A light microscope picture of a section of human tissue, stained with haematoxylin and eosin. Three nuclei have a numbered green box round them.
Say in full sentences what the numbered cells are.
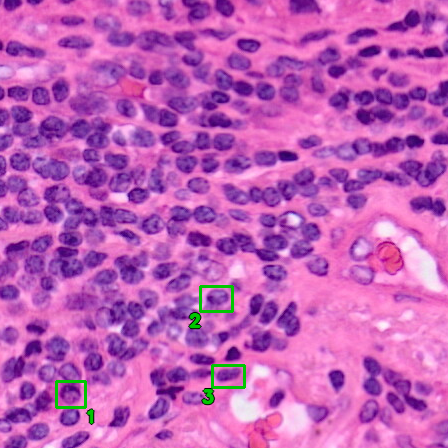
Cell 1 is a plasma cell, cell 2 is a lymphocyte and cell 3 is a lymphocyte.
